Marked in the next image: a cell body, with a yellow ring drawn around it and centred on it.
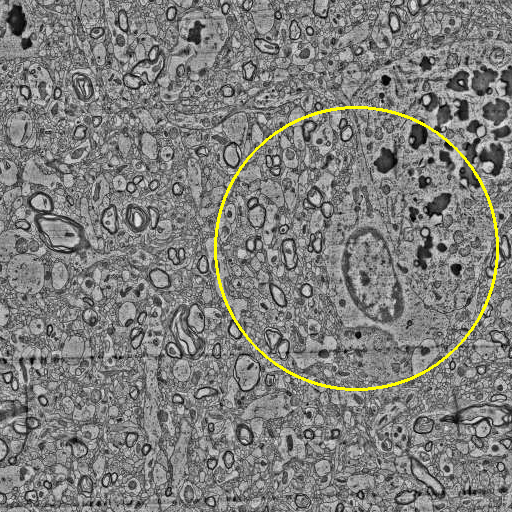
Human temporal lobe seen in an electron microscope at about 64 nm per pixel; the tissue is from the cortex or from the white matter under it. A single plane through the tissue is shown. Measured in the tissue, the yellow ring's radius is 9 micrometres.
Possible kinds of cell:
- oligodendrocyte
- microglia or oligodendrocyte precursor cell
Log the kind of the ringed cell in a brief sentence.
The ringed cell body is that of a microglial cell or oligodendrocyte precursor cell.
